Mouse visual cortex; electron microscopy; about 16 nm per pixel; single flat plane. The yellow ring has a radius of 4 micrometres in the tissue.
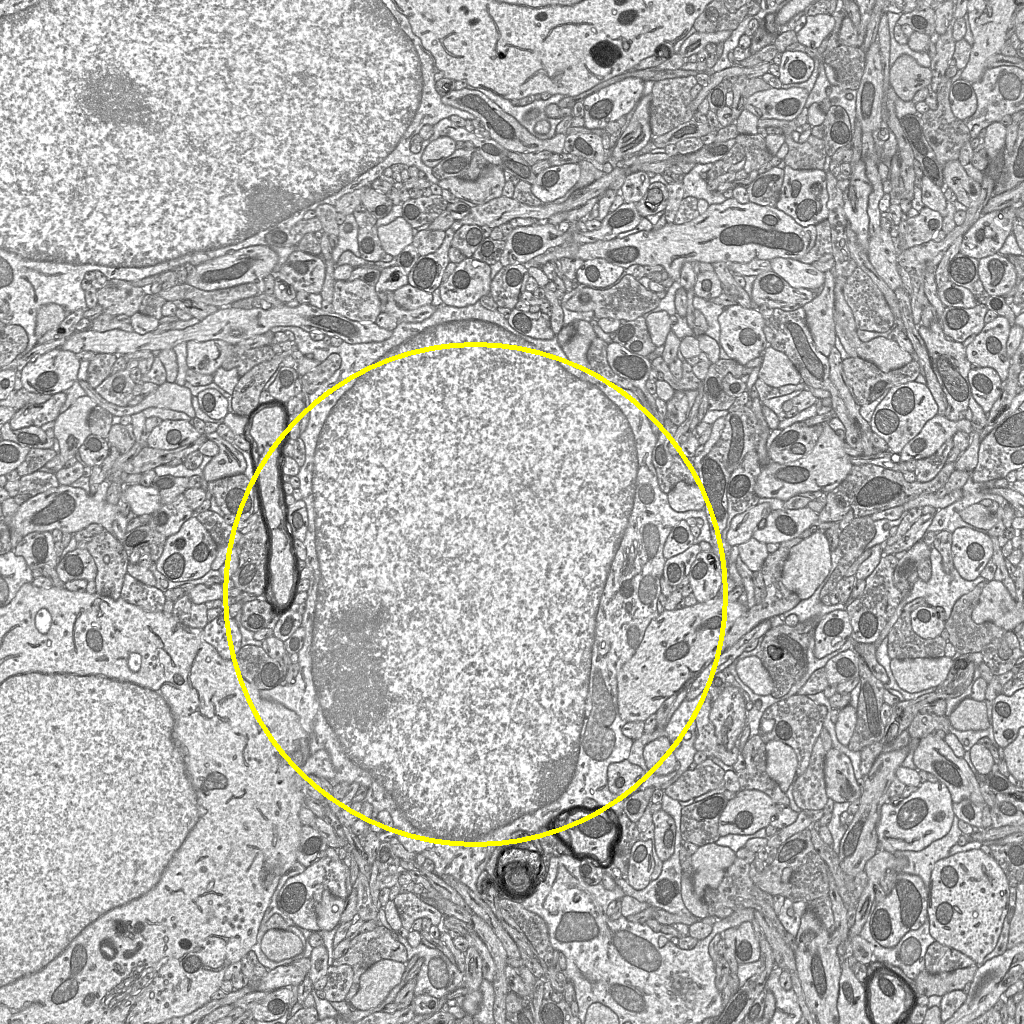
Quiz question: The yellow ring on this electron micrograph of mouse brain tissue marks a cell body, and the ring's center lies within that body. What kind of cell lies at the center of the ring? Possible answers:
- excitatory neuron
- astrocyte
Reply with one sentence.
The ring's center lies on an astrocyte.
